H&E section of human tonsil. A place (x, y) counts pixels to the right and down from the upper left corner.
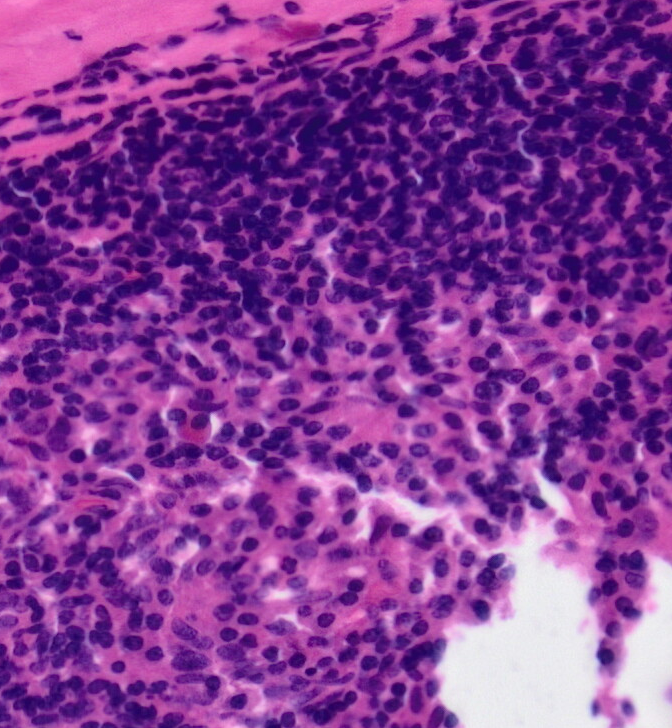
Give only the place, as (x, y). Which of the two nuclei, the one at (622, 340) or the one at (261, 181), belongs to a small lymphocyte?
(261, 181)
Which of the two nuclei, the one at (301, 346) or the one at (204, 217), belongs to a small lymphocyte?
(204, 217)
